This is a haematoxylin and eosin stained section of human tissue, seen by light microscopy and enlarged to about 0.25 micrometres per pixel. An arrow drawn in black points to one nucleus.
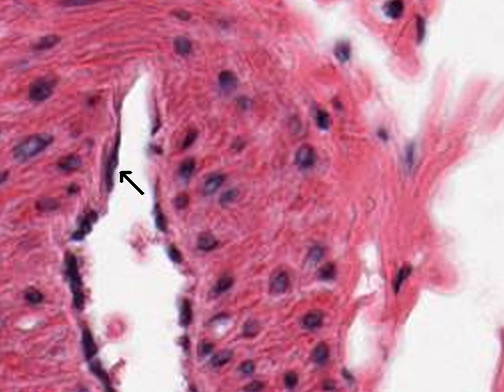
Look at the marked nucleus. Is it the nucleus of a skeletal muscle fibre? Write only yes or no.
no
